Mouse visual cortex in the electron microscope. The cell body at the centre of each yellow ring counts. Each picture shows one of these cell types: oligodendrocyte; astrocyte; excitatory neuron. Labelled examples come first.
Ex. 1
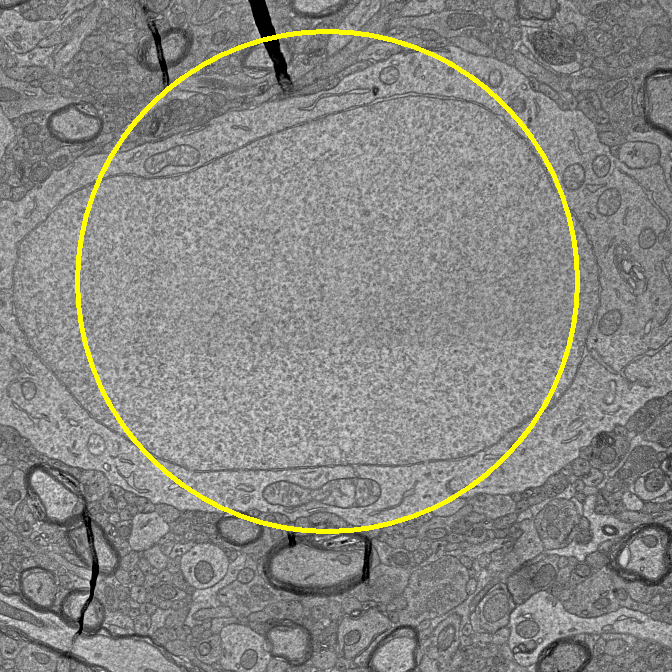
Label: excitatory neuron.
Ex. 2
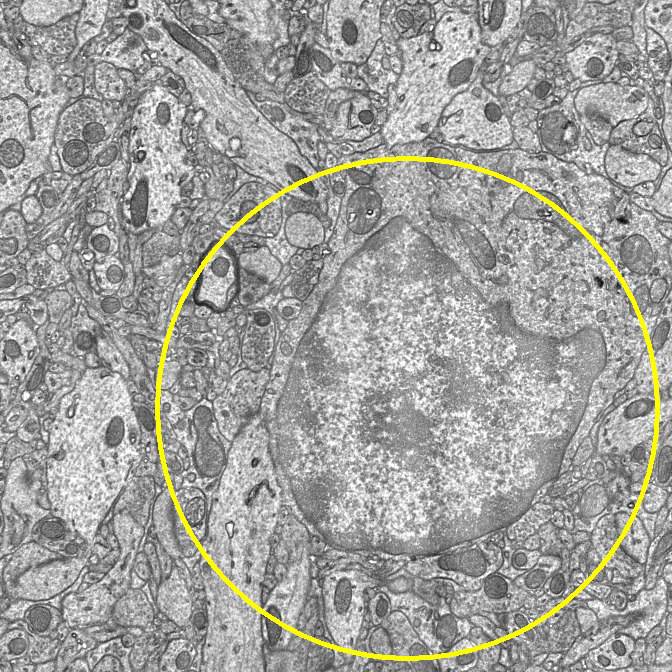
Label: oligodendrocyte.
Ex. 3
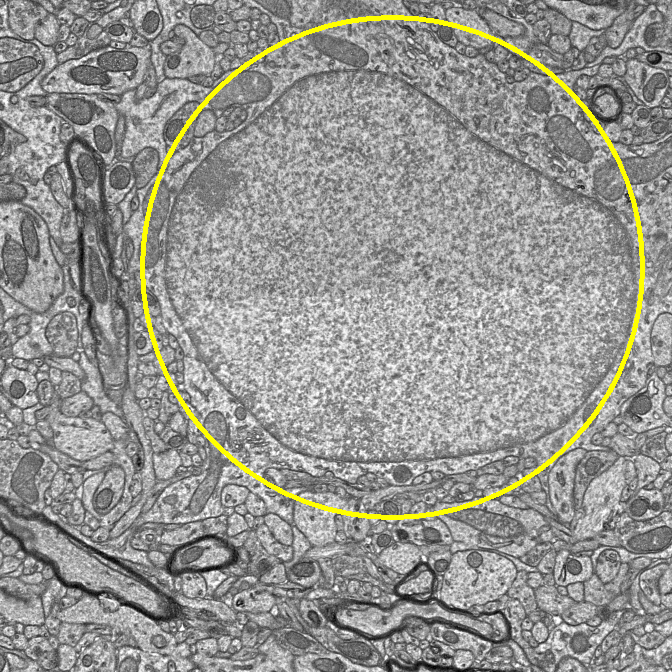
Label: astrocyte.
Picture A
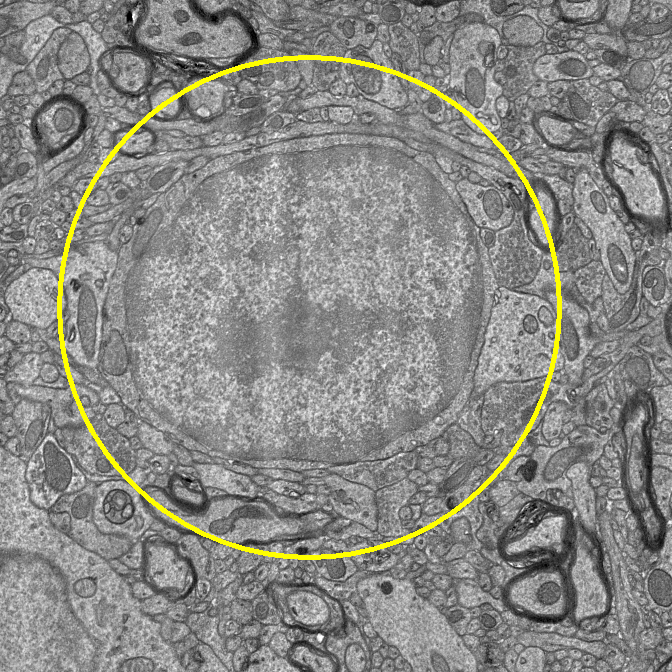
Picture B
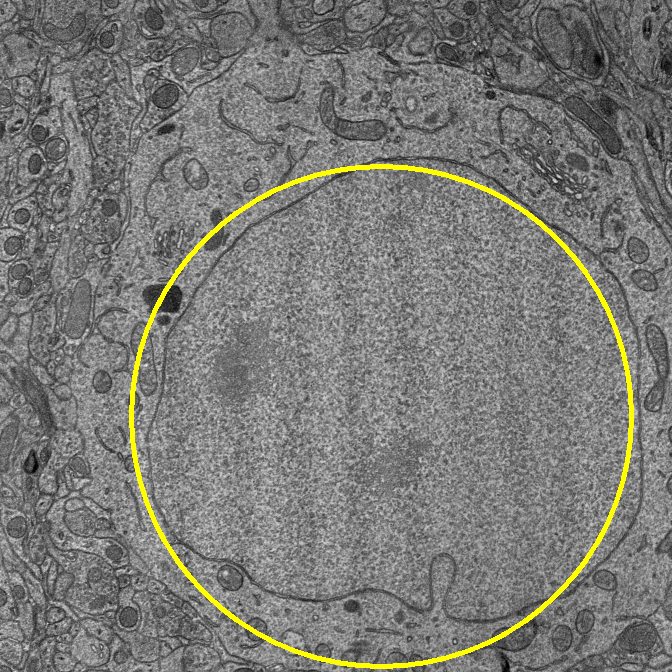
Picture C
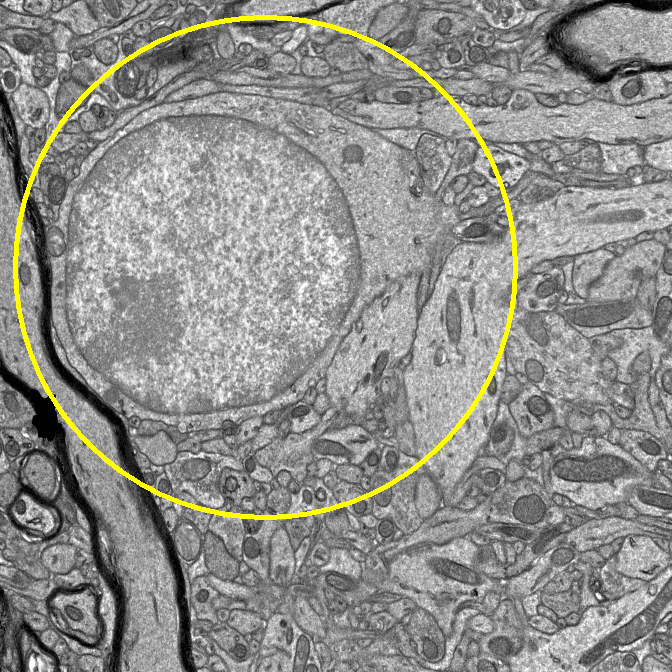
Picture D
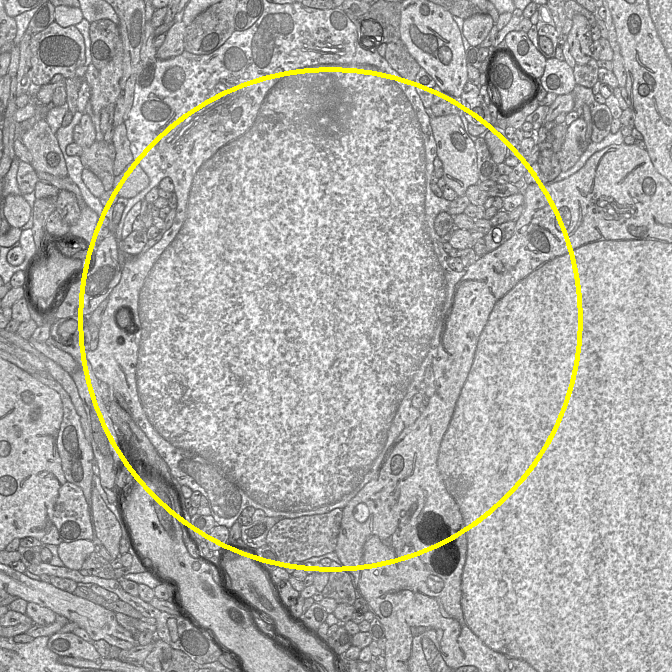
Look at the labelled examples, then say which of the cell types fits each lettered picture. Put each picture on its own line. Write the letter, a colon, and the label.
A: oligodendrocyte.
B: excitatory neuron.
C: oligodendrocyte.
D: astrocyte.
